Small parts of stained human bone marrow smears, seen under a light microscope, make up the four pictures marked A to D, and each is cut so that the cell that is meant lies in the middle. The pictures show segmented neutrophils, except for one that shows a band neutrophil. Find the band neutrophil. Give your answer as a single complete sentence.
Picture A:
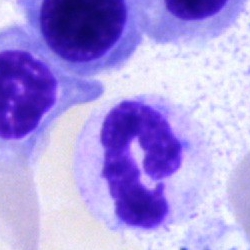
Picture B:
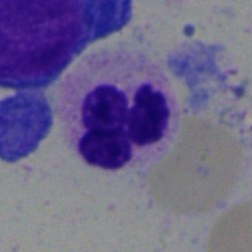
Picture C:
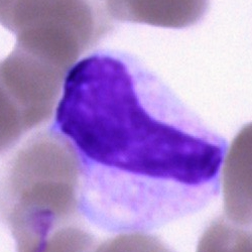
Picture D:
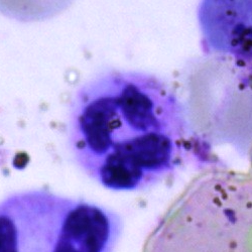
It is picture C that shows the band neutrophil.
